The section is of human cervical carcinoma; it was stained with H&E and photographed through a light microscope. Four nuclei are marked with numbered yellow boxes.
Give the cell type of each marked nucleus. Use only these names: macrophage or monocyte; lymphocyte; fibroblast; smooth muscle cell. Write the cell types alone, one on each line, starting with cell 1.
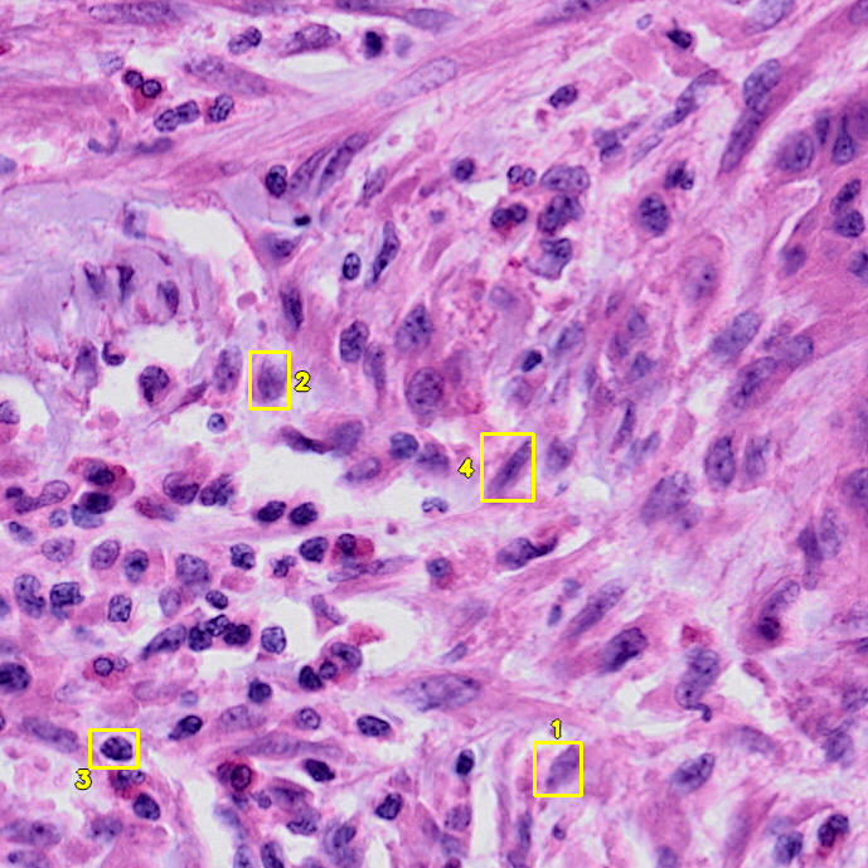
fibroblast
fibroblast
lymphocyte
fibroblast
